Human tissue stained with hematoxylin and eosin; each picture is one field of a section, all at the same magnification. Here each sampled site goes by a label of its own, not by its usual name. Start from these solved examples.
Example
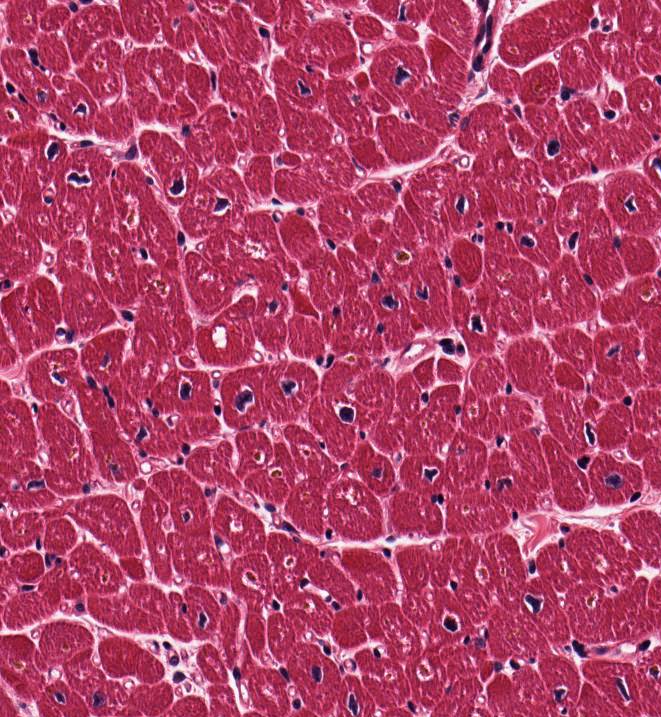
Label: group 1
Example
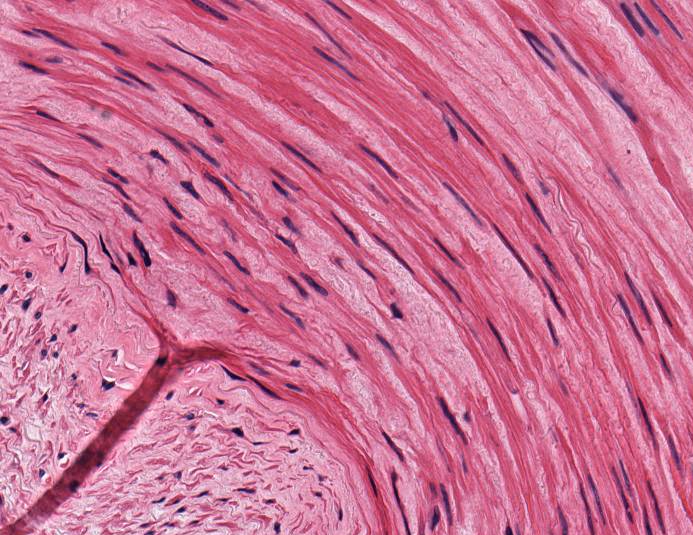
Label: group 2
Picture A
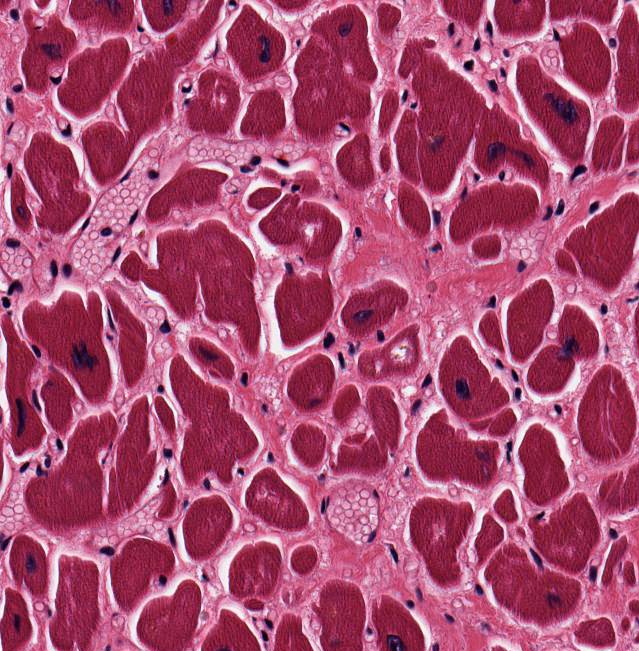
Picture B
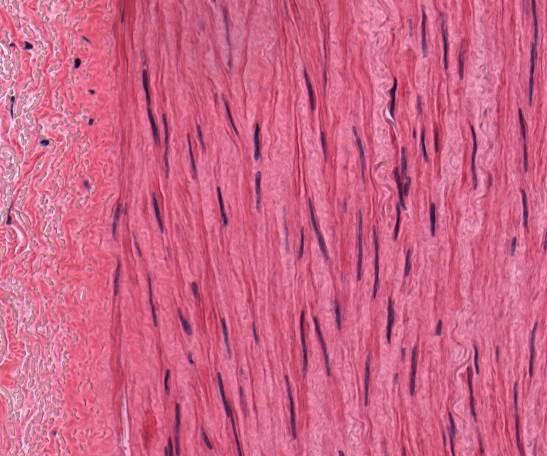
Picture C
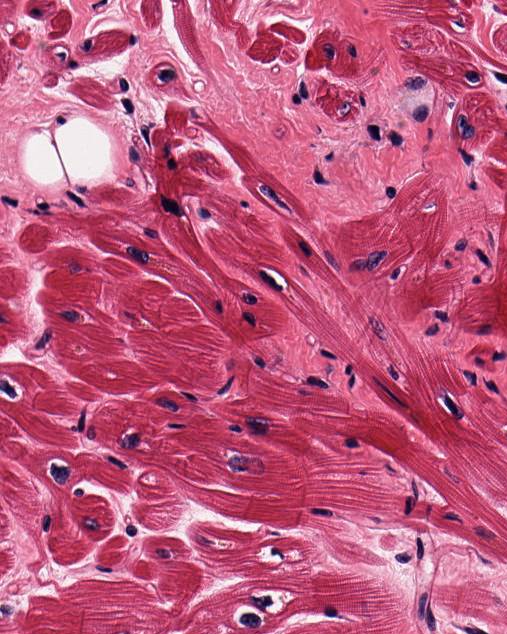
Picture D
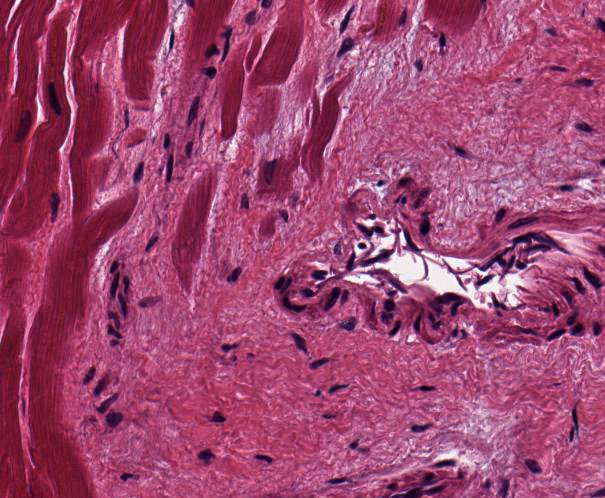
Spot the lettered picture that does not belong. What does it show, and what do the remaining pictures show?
Exception: B, showing group 2. Remaining pictures: group 1.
